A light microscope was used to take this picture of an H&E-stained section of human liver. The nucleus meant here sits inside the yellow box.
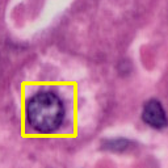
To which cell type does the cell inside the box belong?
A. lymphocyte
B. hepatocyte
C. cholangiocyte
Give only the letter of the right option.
B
